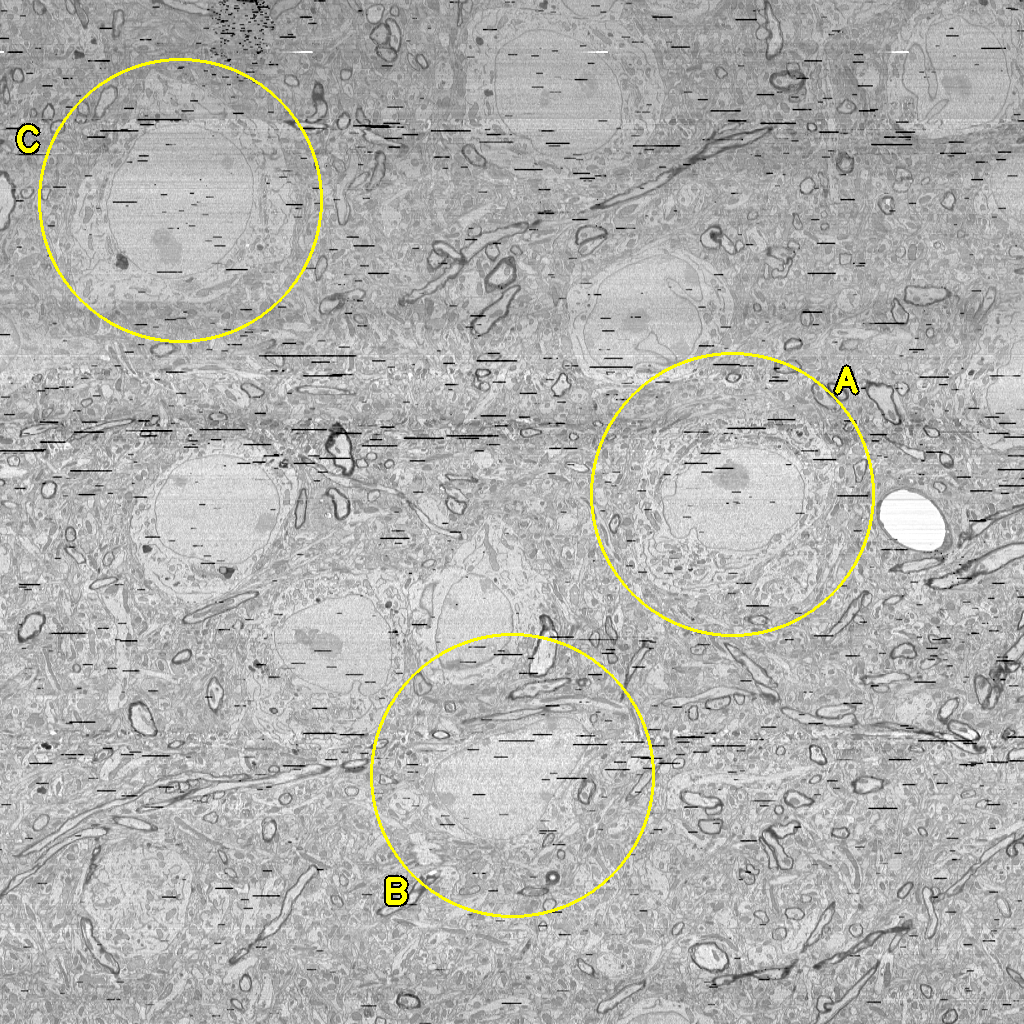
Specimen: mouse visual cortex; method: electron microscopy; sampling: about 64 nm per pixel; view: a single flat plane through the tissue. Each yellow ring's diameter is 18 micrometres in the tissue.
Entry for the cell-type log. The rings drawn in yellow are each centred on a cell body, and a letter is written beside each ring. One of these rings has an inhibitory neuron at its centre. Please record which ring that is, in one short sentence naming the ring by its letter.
Ring A is centred on it.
